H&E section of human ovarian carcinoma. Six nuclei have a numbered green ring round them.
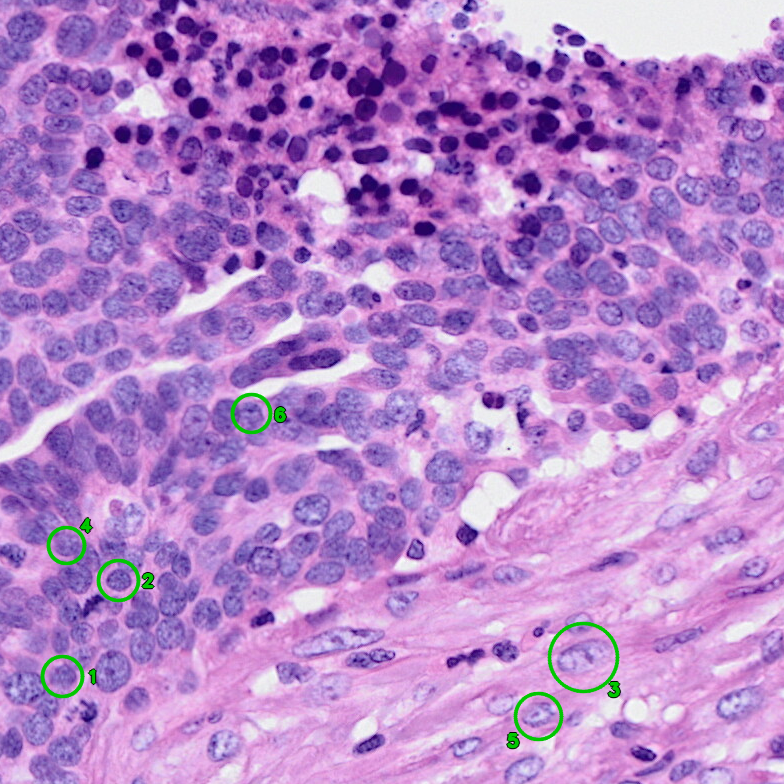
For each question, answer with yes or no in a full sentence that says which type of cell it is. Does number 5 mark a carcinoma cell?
No, not a carcinoma cell: the cell with number 5 is a fibroblast.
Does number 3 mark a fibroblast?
Yes, of the numbered cells, number 3 is a fibroblast.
